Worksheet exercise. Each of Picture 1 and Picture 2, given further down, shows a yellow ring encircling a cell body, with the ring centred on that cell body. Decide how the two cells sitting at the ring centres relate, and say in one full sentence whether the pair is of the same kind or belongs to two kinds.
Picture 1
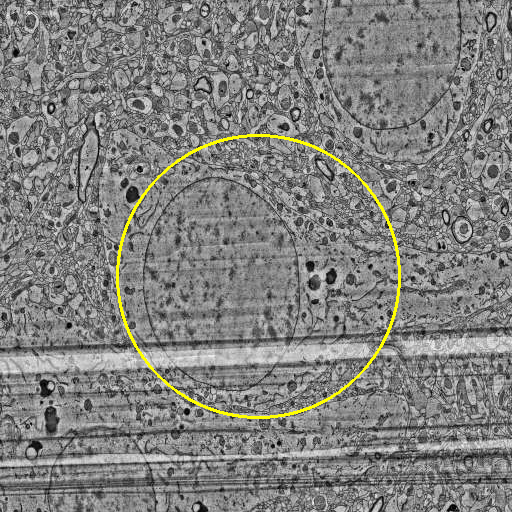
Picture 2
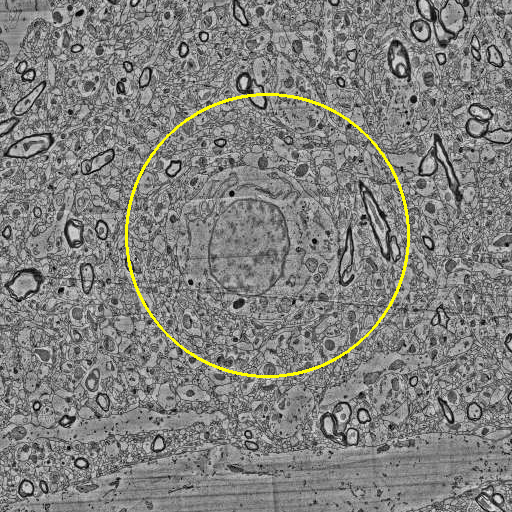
The cells at the ring centres in Picture 1 and Picture 2 are of the same kind.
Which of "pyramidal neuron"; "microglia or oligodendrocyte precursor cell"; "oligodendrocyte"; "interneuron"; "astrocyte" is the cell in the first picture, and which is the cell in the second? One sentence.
Each of the two pictures has a pyramidal neuron at the ring centre.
